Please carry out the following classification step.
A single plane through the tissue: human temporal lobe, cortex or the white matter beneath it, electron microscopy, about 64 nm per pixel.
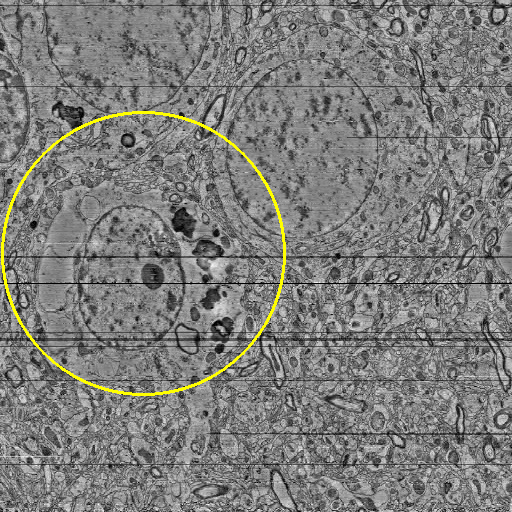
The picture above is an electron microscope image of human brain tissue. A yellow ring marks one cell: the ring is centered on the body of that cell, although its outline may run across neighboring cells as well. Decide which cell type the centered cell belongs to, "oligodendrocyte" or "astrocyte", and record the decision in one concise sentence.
The cell centered in the yellow ring is an astrocyte.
